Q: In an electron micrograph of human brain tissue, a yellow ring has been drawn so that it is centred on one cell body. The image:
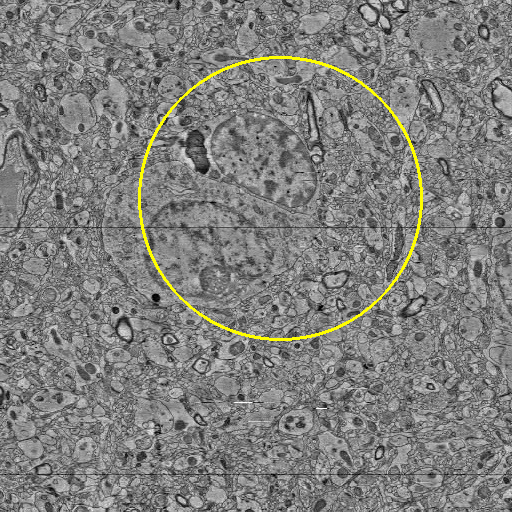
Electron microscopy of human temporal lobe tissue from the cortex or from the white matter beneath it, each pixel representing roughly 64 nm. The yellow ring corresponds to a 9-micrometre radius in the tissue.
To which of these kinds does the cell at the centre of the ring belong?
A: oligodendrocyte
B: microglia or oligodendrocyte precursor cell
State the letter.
A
